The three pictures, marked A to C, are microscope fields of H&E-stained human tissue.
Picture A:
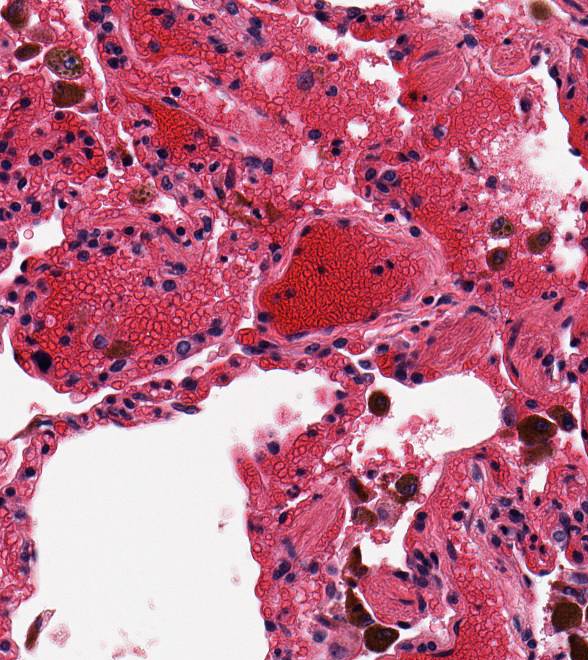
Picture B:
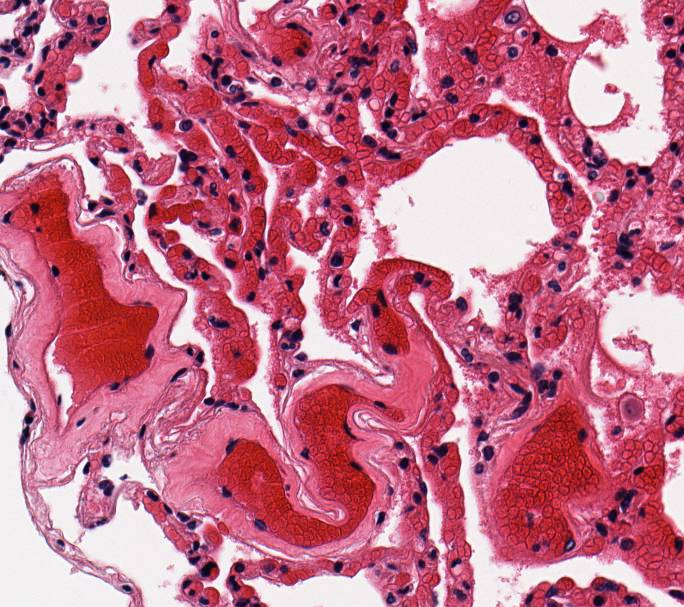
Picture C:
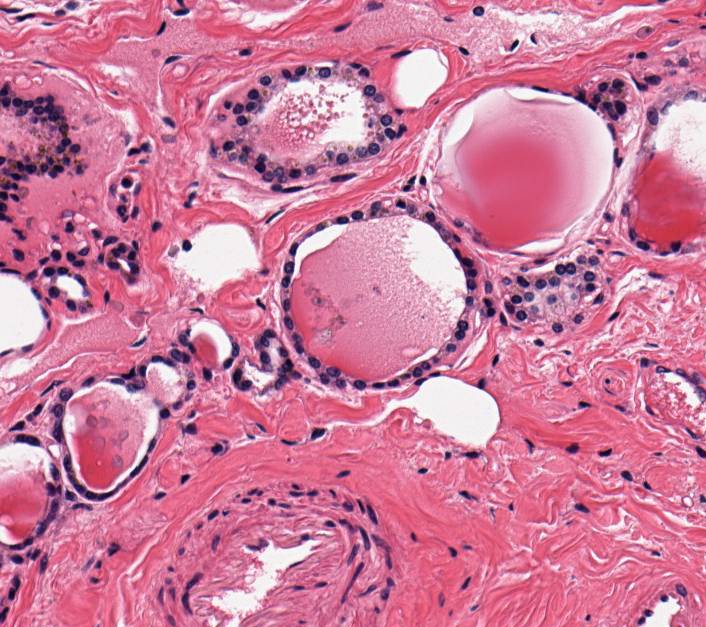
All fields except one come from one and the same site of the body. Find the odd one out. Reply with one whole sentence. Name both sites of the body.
All pictures except C come from the lung; picture C comes from the thyroid.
